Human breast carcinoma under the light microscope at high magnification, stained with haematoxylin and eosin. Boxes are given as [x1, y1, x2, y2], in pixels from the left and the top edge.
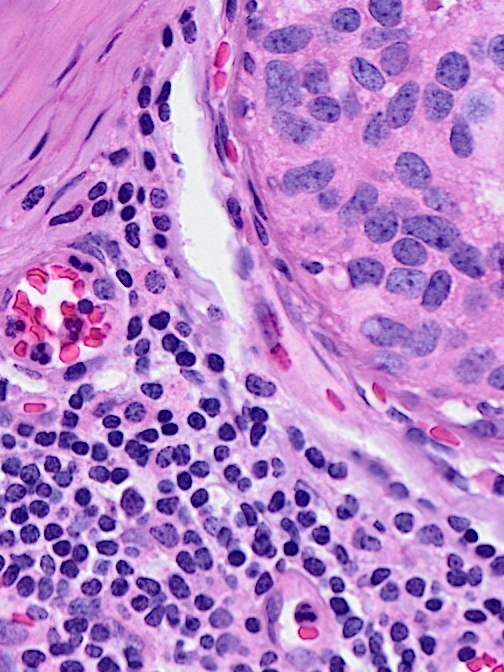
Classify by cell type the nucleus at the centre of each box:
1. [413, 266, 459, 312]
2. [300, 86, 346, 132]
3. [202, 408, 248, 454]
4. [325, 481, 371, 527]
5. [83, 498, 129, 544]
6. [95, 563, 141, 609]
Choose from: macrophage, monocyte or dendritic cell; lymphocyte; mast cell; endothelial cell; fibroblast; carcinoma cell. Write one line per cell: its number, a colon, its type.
1: carcinoma cell
2: carcinoma cell
3: lymphocyte
4: lymphocyte
5: lymphocyte
6: lymphocyte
